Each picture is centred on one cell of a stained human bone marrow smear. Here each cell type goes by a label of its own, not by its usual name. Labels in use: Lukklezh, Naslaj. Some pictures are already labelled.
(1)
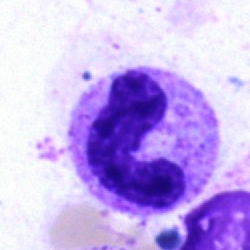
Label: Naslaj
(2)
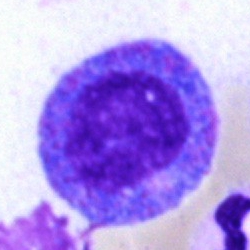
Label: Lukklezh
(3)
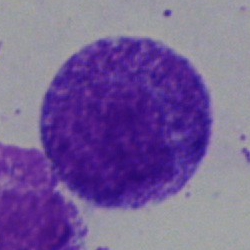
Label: Lukklezh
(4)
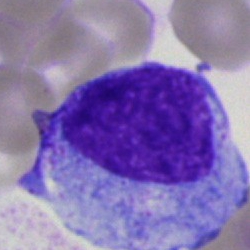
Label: Lukklezh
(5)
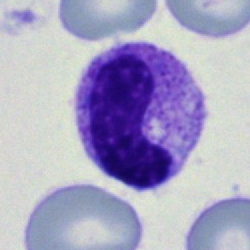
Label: Naslaj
